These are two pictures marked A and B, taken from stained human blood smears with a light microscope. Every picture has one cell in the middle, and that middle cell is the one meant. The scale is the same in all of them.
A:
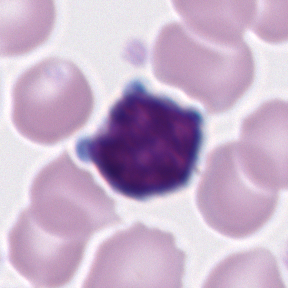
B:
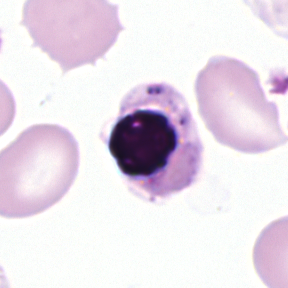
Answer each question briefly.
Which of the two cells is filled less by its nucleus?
B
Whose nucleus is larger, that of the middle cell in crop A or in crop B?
A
